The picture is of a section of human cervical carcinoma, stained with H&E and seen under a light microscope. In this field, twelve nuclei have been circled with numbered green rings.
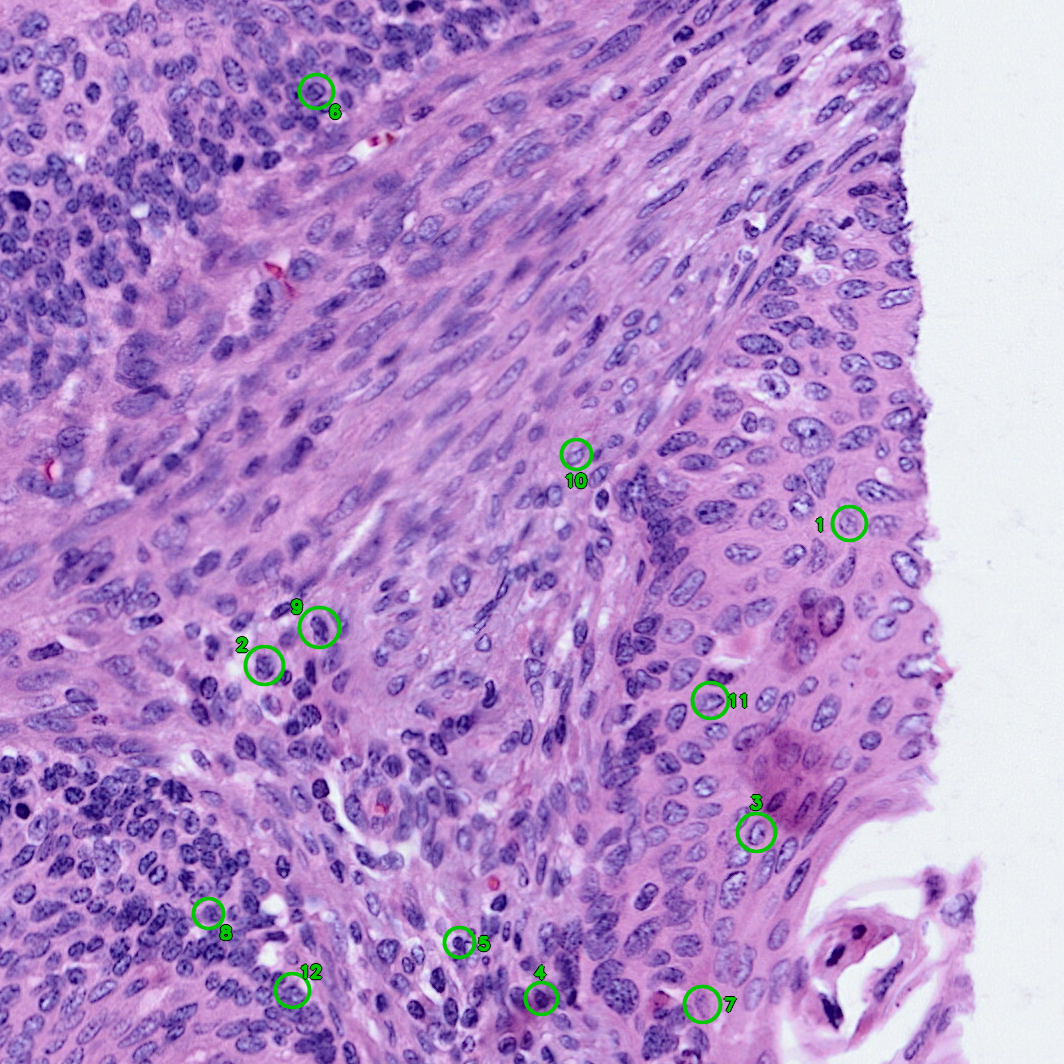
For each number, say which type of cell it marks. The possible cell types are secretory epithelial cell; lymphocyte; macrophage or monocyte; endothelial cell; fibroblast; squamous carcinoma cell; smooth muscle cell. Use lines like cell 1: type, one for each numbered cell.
cell 1: squamous carcinoma cell
cell 2: lymphocyte
cell 3: squamous carcinoma cell
cell 4: lymphocyte
cell 5: lymphocyte
cell 6: squamous carcinoma cell
cell 7: squamous carcinoma cell
cell 8: squamous carcinoma cell
cell 9: lymphocyte
cell 10: smooth muscle cell
cell 11: squamous carcinoma cell
cell 12: squamous carcinoma cell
